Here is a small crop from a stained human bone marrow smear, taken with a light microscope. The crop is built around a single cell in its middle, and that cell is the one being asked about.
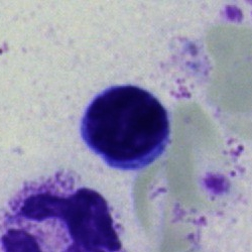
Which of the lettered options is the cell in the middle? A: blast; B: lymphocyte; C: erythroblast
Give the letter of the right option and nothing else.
B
